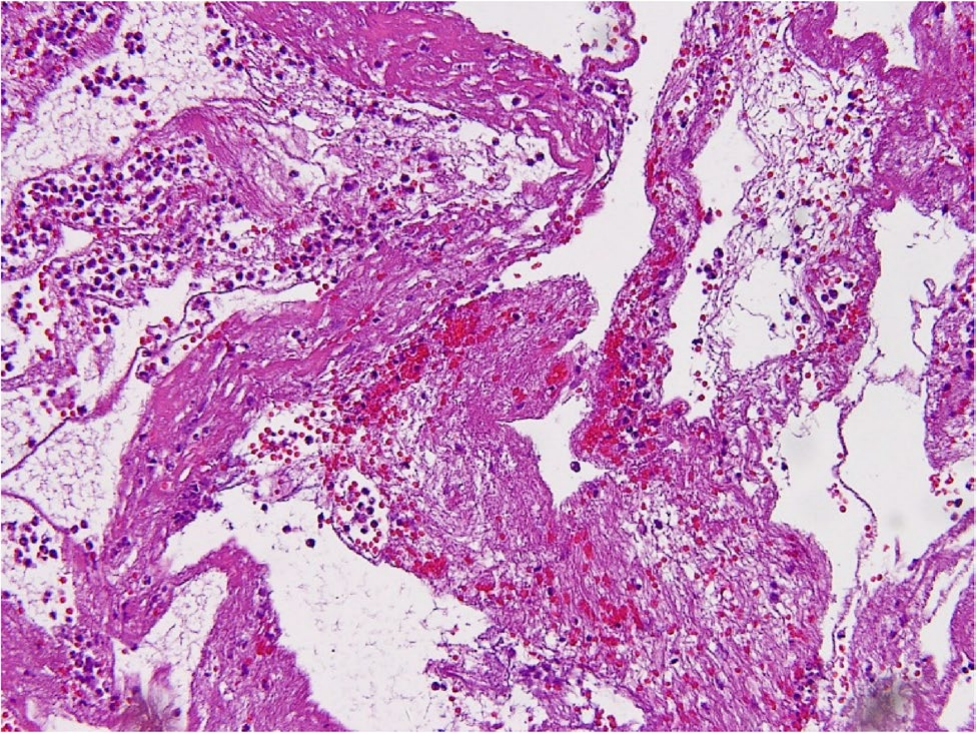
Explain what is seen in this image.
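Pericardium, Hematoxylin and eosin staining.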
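The bulk of the fragments consists of pink, eosinophilic, fibrillar and wavy material arranged in irregular strands and sheets separated by pale, open spaces. Numerous small inflammatory cells with dark purple, compact nuclei are scattered through these strands and gather in loose clusters, especially at the upper left and in the spaces between fragments. Red blood cells, seen as small bright red discs, lie in patches within and along the pink material. Parts of the tissue are pale and finely meshed, as if loosened by oedema, and no orderly layered architecture is preserved.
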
